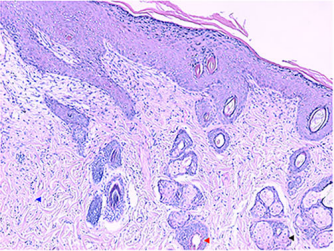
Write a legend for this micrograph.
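This is skin with a continuous, purple-staining stratified epidermis at the top, covered by a thin layer of pink keratin. Below it the dermis holds numerous hair follicles cut in round and oval profiles, each with concentric layers of dark epithelial cells, and lobules of pale, foamy sebaceous gland cells lying beside them. The deeper dermis consists of pale pink fibrous connective tissue with scattered spindle-shaped nuclei.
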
